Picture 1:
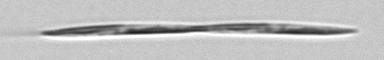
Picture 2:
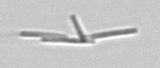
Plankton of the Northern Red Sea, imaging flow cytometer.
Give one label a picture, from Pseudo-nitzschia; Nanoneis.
1. Pseudo-nitzschia
2. Nanoneis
